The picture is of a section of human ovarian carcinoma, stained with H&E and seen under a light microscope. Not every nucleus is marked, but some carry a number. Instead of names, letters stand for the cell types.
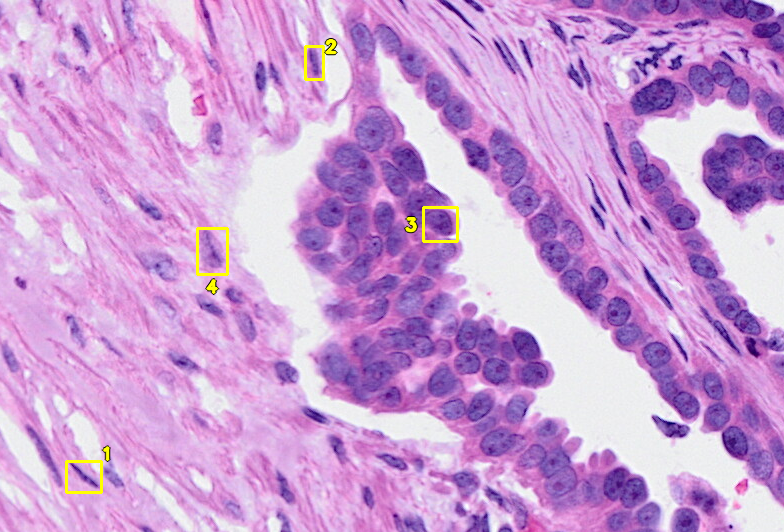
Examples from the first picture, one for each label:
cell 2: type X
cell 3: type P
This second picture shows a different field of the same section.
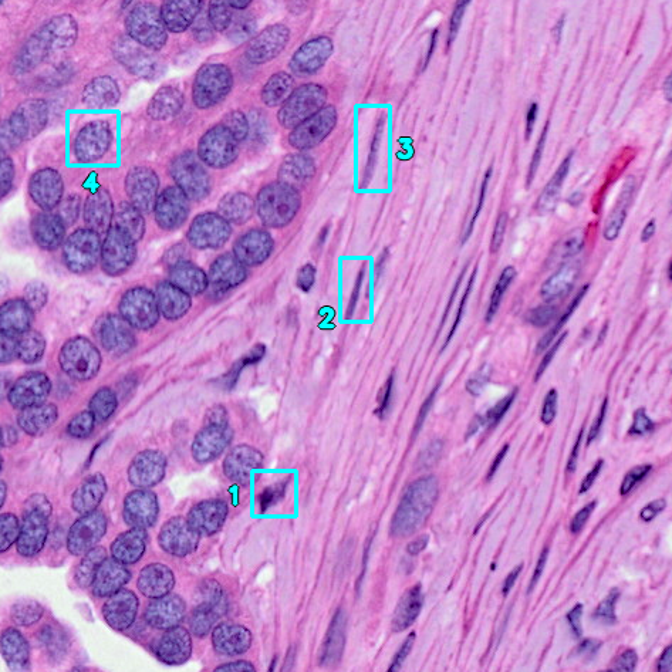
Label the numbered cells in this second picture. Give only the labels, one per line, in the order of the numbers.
type X
type X
type X
type P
